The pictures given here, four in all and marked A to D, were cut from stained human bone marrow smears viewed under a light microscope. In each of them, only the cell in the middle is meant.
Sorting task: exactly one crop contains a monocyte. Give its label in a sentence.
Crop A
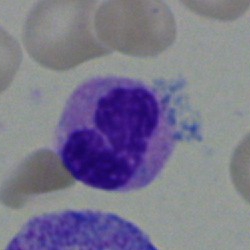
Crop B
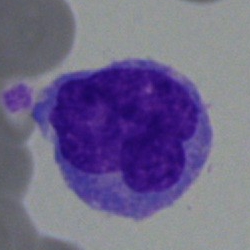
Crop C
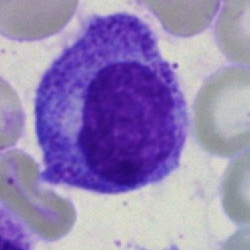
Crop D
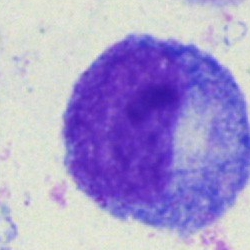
Crop B matches the request, showing a monocyte.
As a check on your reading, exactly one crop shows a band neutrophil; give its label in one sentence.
Crop A is where a band neutrophil is shown.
